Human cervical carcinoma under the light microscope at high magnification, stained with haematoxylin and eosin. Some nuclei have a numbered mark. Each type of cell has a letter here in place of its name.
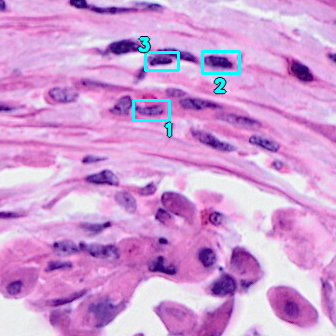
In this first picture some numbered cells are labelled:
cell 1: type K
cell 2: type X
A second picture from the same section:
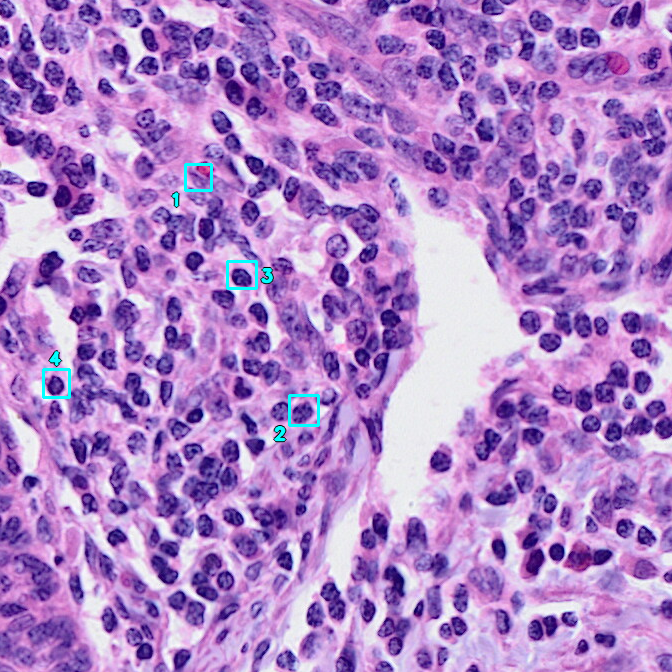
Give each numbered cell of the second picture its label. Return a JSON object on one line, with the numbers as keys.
{"1": "type K", "2": "type X", "3": "type X", "4": "type X"}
